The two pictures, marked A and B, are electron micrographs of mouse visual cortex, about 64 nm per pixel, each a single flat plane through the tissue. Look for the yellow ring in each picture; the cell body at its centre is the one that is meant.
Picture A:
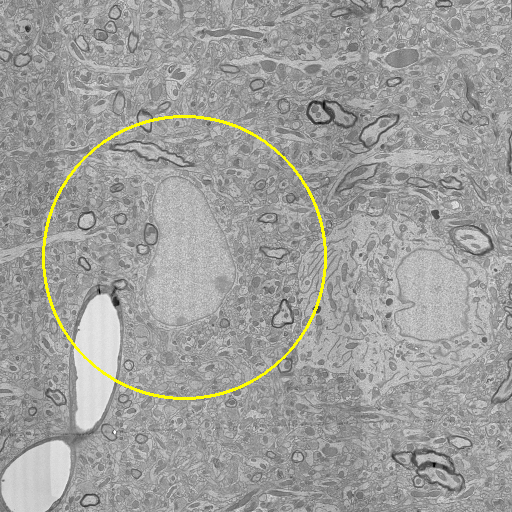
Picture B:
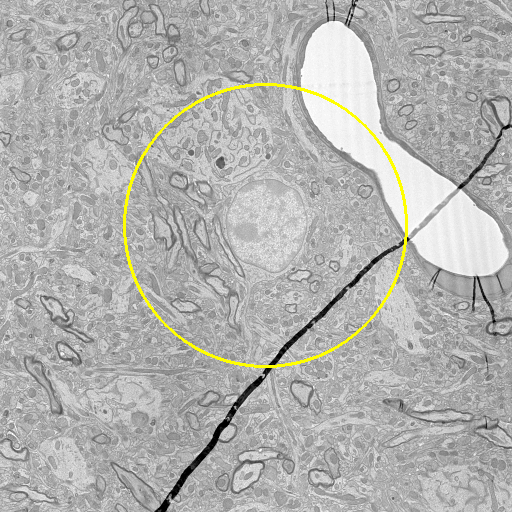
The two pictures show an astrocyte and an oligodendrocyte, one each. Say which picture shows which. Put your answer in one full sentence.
Picture A shows an astrocyte and picture B shows an oligodendrocyte.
